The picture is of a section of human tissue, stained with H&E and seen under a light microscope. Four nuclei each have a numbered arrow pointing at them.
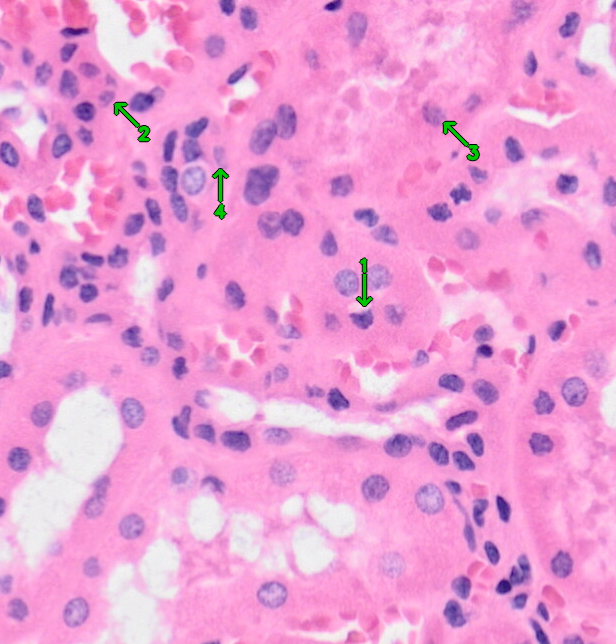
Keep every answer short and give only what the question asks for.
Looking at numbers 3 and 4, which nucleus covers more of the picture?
3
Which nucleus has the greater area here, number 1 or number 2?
1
